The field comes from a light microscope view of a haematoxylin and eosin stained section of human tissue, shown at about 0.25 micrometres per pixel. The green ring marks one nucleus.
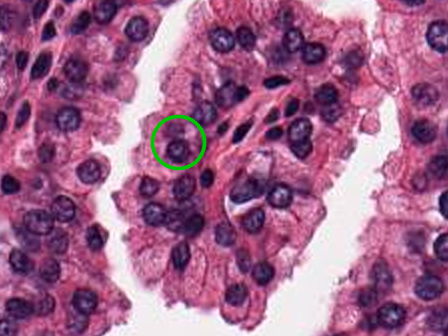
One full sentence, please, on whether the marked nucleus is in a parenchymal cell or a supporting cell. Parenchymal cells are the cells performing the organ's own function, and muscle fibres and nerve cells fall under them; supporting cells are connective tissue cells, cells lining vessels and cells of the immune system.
In this field the marked nucleus is the nucleus of a prostate gland luminal cell, a parenchymal cell.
